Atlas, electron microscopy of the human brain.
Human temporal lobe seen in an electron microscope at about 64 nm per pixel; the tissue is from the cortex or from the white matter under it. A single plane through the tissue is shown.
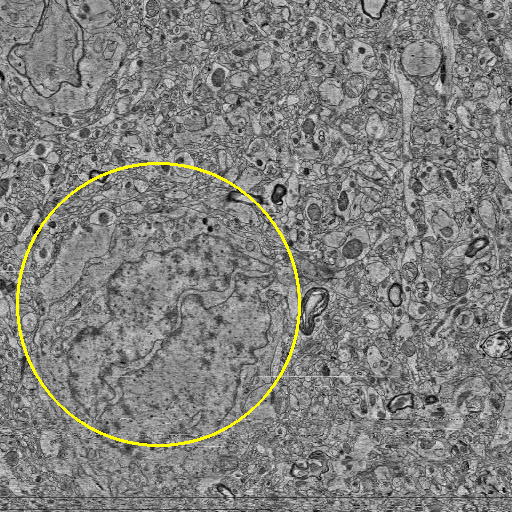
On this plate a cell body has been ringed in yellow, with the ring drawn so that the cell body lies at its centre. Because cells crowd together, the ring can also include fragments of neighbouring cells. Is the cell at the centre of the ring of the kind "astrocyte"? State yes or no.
No, it is of another kind.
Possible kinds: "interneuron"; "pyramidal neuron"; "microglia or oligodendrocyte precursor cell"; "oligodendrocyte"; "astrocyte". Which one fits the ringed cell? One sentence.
The cell ringed in the picture is an interneuron.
